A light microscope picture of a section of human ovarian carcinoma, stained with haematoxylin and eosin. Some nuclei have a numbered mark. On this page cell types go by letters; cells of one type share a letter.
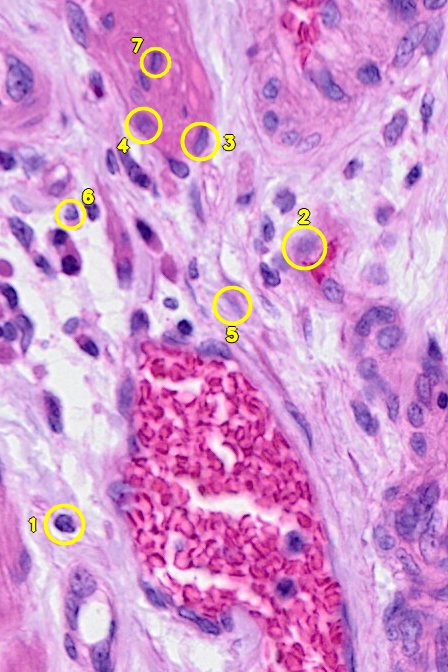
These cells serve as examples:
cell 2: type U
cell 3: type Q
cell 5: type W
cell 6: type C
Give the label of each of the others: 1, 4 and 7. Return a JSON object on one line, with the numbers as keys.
{"1": "type C", "4": "type Q", "7": "type Q"}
